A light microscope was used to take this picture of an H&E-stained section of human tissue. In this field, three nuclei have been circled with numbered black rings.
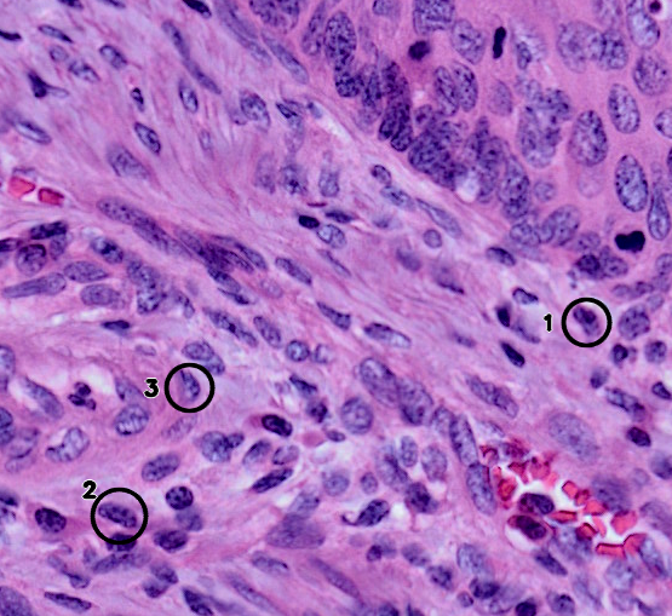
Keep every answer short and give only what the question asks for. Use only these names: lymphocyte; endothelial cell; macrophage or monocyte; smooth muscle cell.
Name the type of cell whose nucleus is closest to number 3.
macrophage or monocyte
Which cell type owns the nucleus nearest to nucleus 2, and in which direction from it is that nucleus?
a lymphocyte below nucleus 2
